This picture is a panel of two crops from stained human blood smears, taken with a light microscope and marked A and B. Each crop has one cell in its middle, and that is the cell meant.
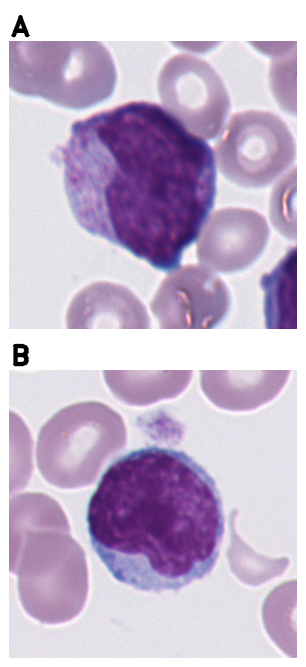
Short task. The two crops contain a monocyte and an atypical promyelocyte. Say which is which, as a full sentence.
The middle cell in crop A is an atypical promyelocyte; the middle cell in crop B is a monocyte.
